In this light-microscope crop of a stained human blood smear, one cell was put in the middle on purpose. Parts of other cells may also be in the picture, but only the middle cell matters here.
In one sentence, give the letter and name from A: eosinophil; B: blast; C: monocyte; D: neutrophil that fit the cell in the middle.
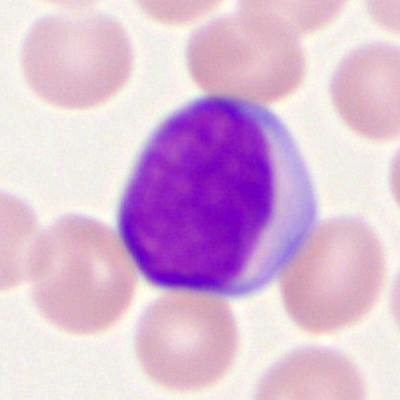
Identification: the cell in the middle is a blast, matching option B.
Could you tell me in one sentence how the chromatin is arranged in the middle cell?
One feature to record is coarsely clumped chromatin.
